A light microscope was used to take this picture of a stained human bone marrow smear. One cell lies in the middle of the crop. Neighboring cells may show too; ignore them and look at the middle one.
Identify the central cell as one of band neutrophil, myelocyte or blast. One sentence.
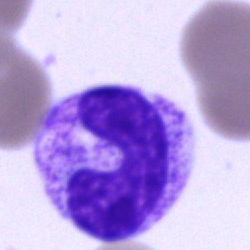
The crop centres on a single cell, and that cell is a band neutrophil.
